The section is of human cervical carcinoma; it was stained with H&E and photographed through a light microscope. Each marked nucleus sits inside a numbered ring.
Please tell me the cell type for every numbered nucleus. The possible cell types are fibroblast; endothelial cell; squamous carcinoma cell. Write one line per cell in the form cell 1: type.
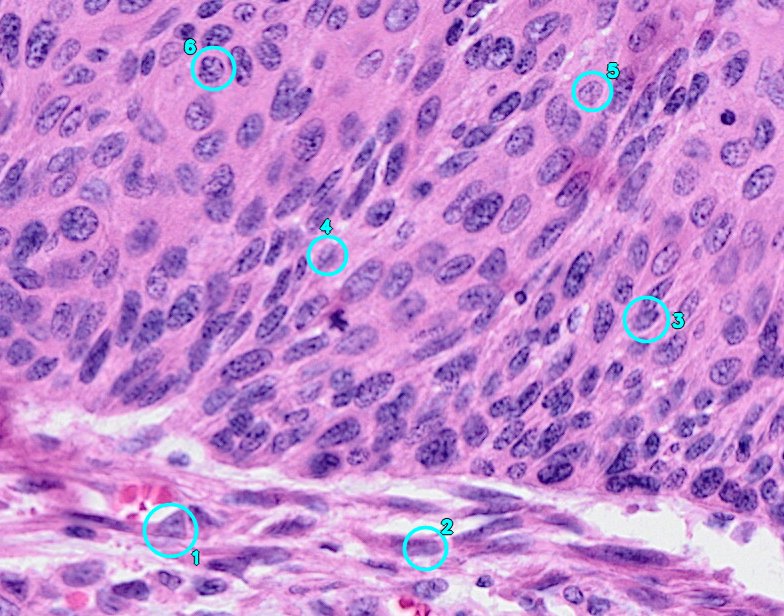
cell 1: endothelial cell
cell 2: fibroblast
cell 3: squamous carcinoma cell
cell 4: squamous carcinoma cell
cell 5: squamous carcinoma cell
cell 6: squamous carcinoma cell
